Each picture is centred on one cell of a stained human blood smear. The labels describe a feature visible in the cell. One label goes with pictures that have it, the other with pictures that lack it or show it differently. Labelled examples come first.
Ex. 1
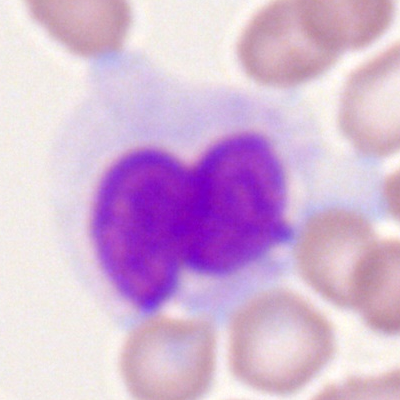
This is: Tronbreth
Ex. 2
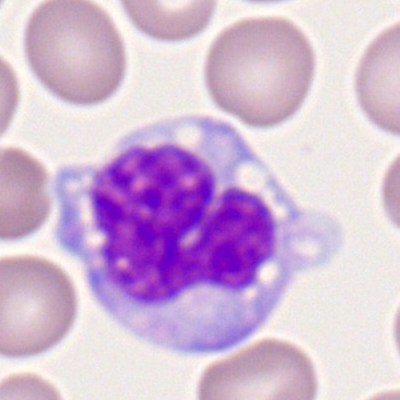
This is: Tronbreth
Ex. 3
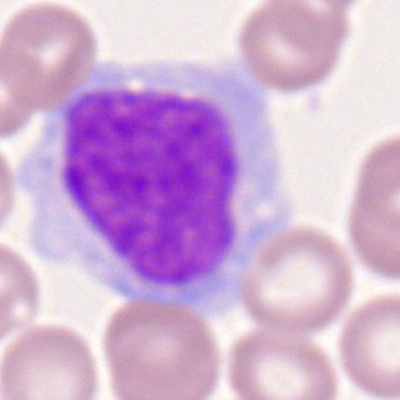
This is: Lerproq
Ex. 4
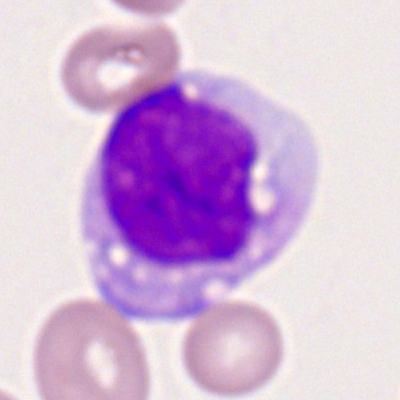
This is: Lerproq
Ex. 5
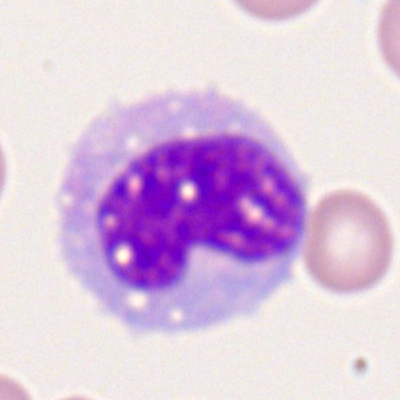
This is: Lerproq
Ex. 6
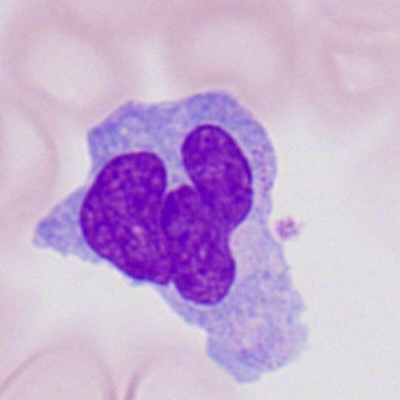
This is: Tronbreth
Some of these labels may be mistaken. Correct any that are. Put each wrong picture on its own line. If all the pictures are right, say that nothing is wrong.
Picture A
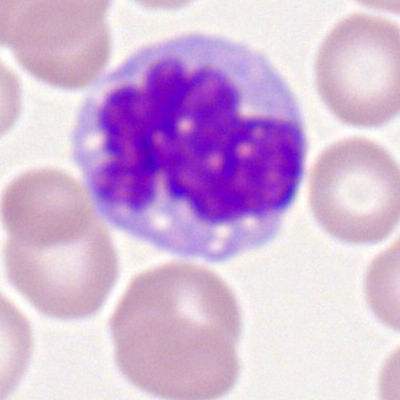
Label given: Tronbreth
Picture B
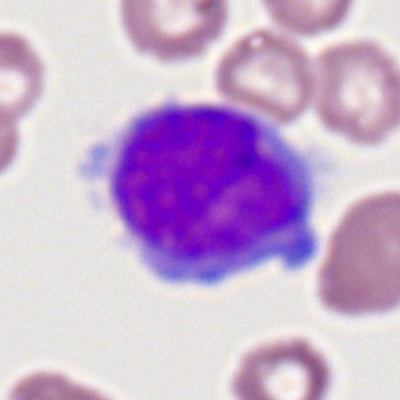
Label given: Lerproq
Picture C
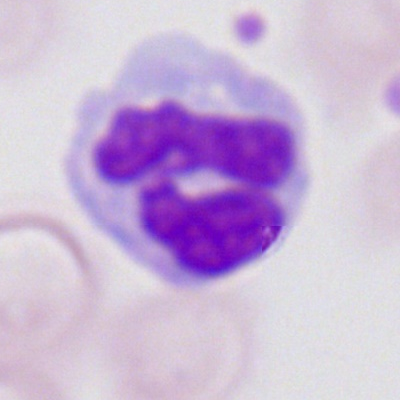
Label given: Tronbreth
No label is wrong.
